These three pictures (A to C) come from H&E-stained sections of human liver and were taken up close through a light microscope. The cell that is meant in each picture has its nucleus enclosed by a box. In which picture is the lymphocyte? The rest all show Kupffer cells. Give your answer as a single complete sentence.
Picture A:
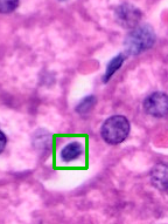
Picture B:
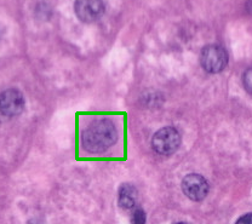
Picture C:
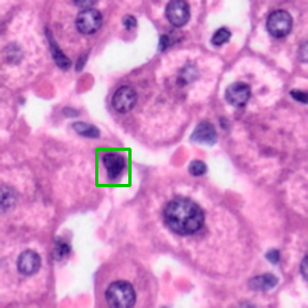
The cell in picture A is the lymphocyte.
